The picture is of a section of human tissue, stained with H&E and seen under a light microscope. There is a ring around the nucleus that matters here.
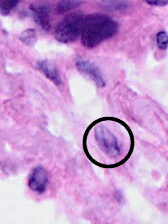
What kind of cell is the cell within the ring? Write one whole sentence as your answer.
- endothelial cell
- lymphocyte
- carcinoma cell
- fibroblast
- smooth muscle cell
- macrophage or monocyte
It is a fibroblast that the cell within the ring represents.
